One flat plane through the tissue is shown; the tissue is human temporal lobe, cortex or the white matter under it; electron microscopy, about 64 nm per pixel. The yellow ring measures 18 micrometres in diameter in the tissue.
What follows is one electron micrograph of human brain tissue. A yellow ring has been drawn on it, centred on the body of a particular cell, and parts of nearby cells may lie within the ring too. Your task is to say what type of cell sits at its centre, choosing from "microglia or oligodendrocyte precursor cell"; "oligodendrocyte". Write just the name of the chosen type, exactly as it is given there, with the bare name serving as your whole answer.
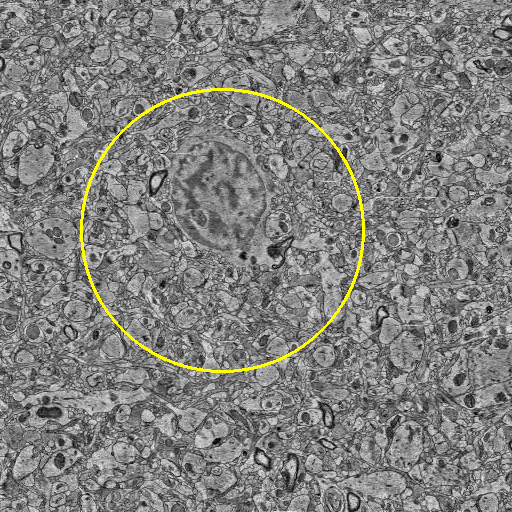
oligodendrocyte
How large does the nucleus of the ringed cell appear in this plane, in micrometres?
In this plane the nucleus is about 7 micrometres by 6.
